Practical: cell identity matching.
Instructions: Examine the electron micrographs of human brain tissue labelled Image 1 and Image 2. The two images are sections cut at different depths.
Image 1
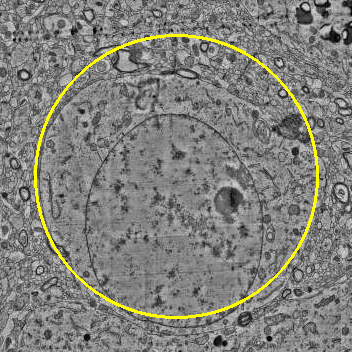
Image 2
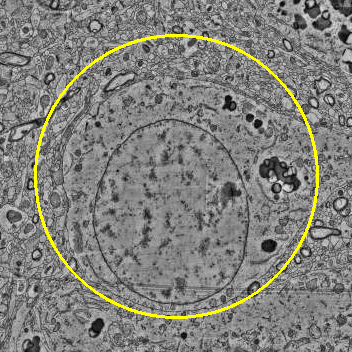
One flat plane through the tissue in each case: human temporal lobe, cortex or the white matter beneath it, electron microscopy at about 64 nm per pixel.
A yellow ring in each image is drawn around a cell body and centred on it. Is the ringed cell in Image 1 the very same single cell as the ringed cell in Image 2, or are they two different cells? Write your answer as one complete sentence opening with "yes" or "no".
Yes, the two rings mark one cell and not separate cells.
